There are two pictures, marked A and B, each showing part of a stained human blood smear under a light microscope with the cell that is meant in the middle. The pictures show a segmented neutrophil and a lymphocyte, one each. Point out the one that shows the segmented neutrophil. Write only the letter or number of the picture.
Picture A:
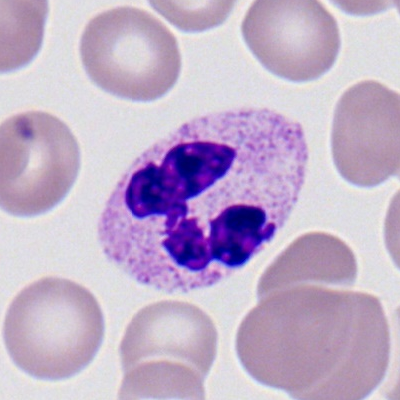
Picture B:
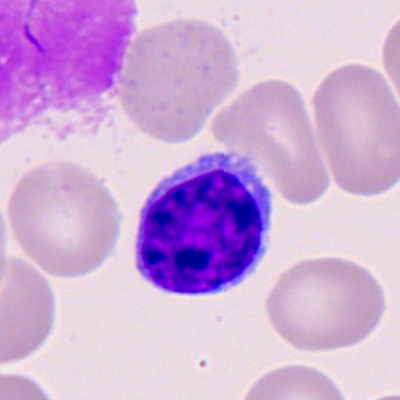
A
